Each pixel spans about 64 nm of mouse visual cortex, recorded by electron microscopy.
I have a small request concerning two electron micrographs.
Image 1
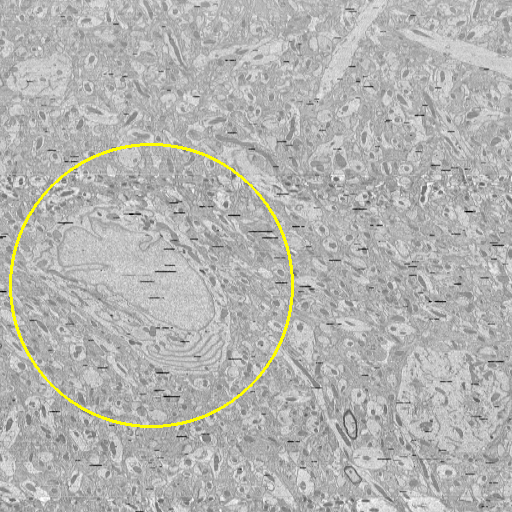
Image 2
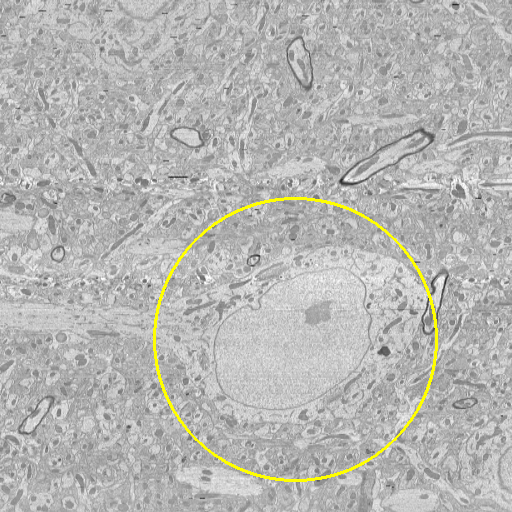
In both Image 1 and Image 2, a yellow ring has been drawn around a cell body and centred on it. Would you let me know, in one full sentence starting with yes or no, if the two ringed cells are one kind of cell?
No, the cells ringed in Image 1 and Image 2 are two kinds of cell.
